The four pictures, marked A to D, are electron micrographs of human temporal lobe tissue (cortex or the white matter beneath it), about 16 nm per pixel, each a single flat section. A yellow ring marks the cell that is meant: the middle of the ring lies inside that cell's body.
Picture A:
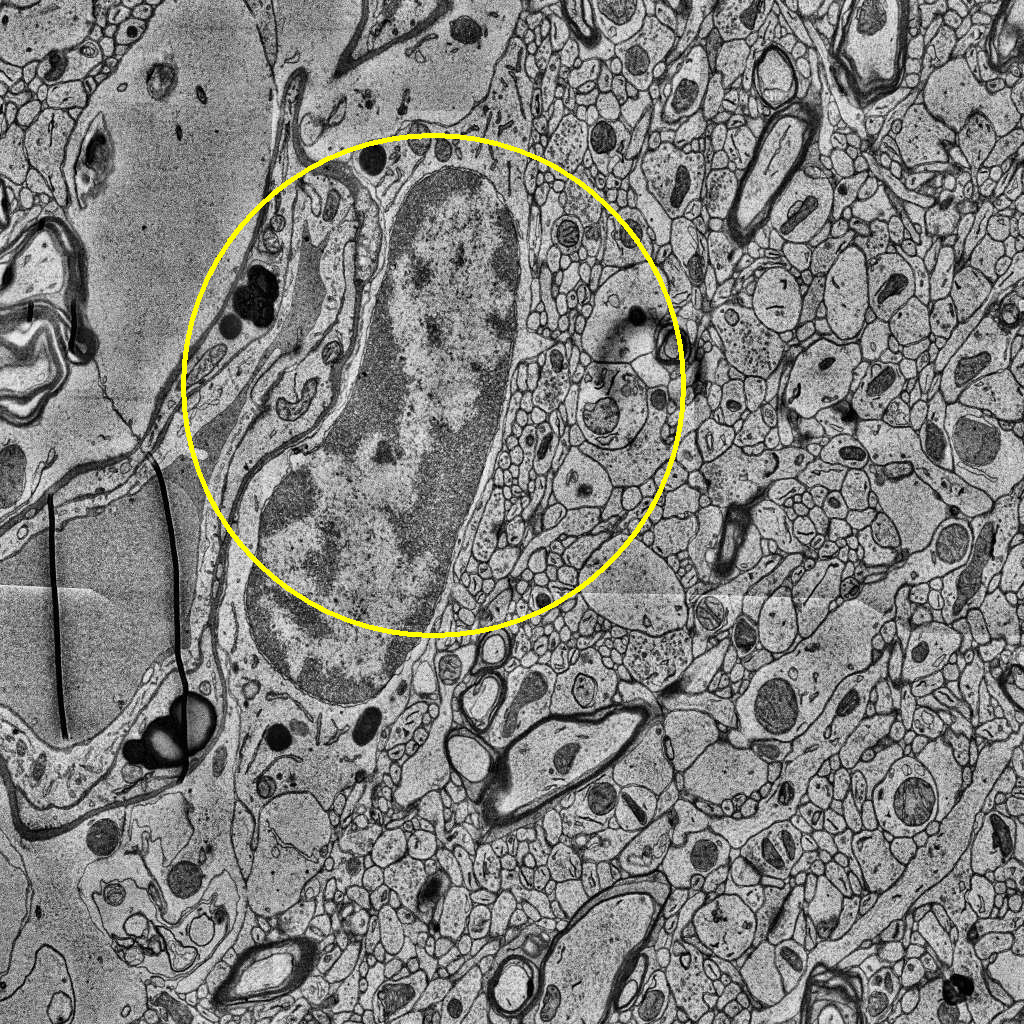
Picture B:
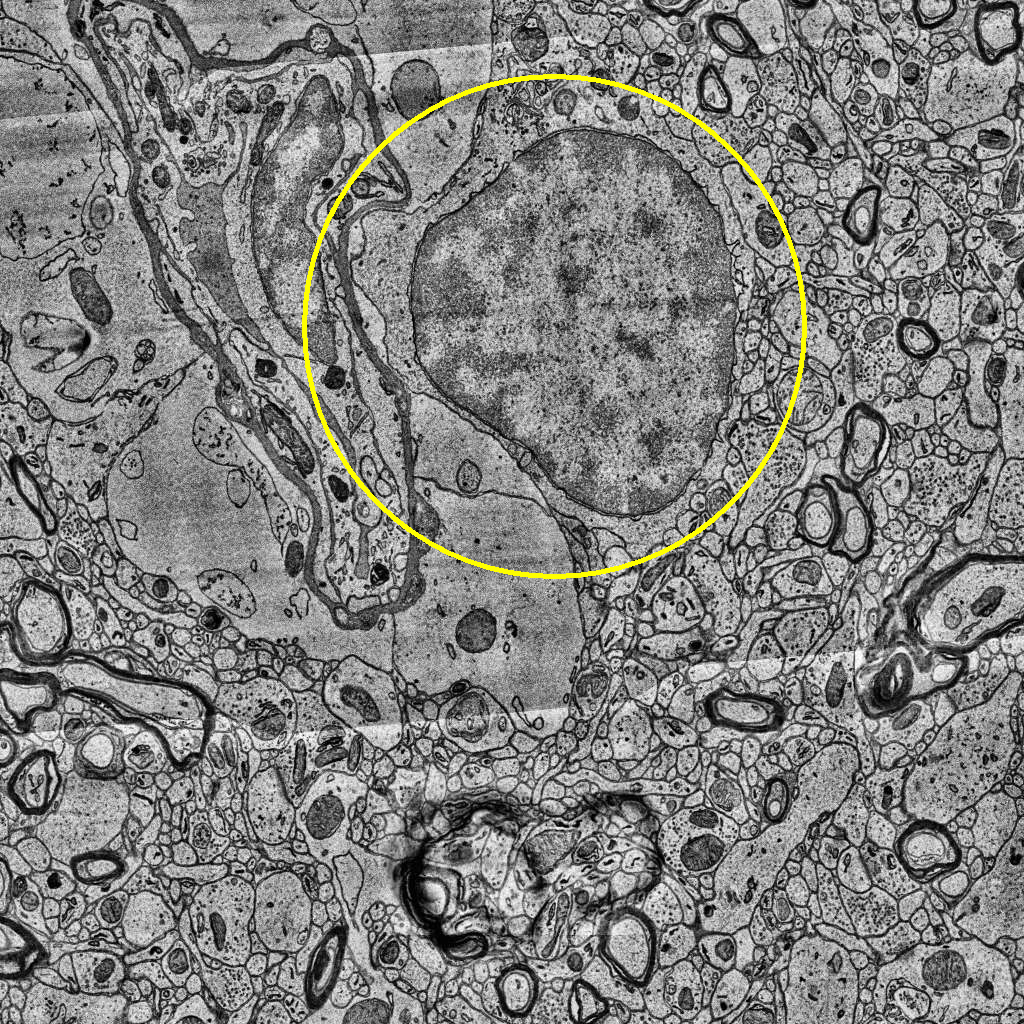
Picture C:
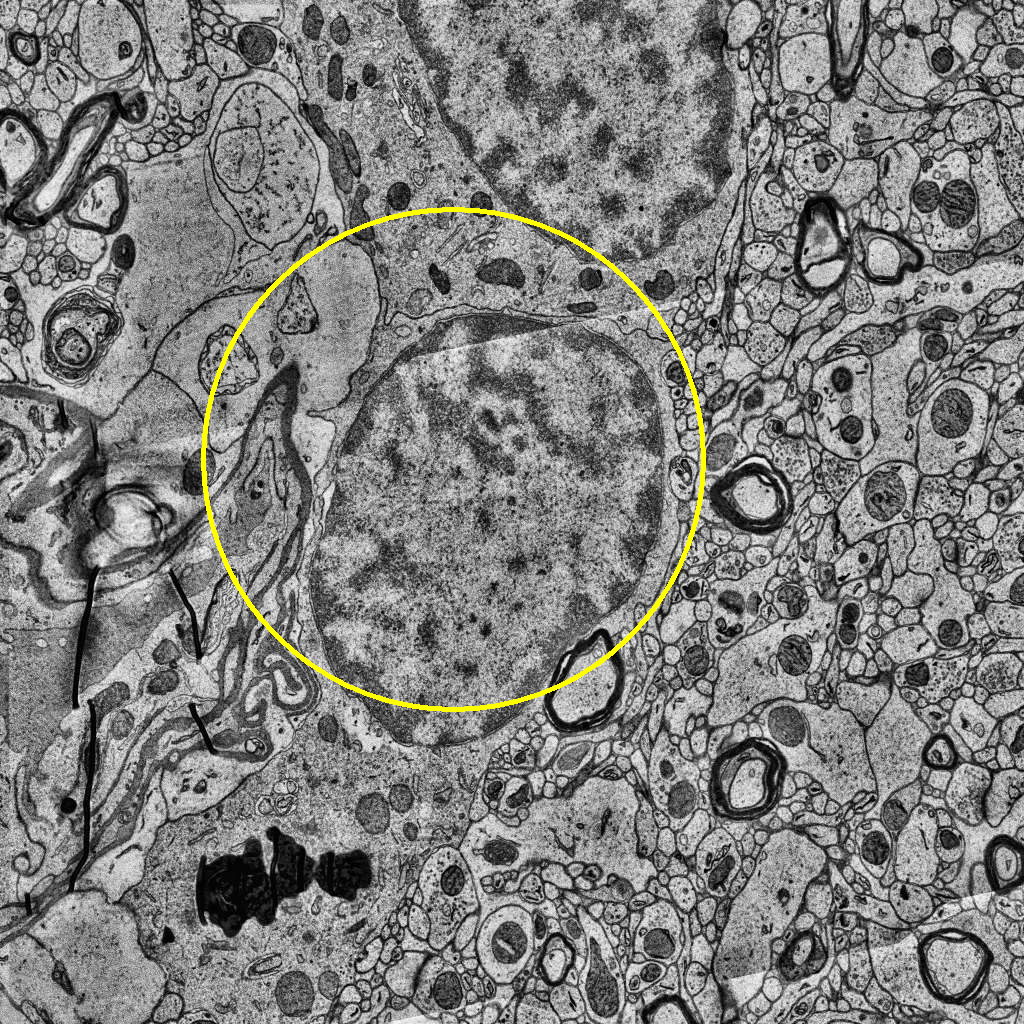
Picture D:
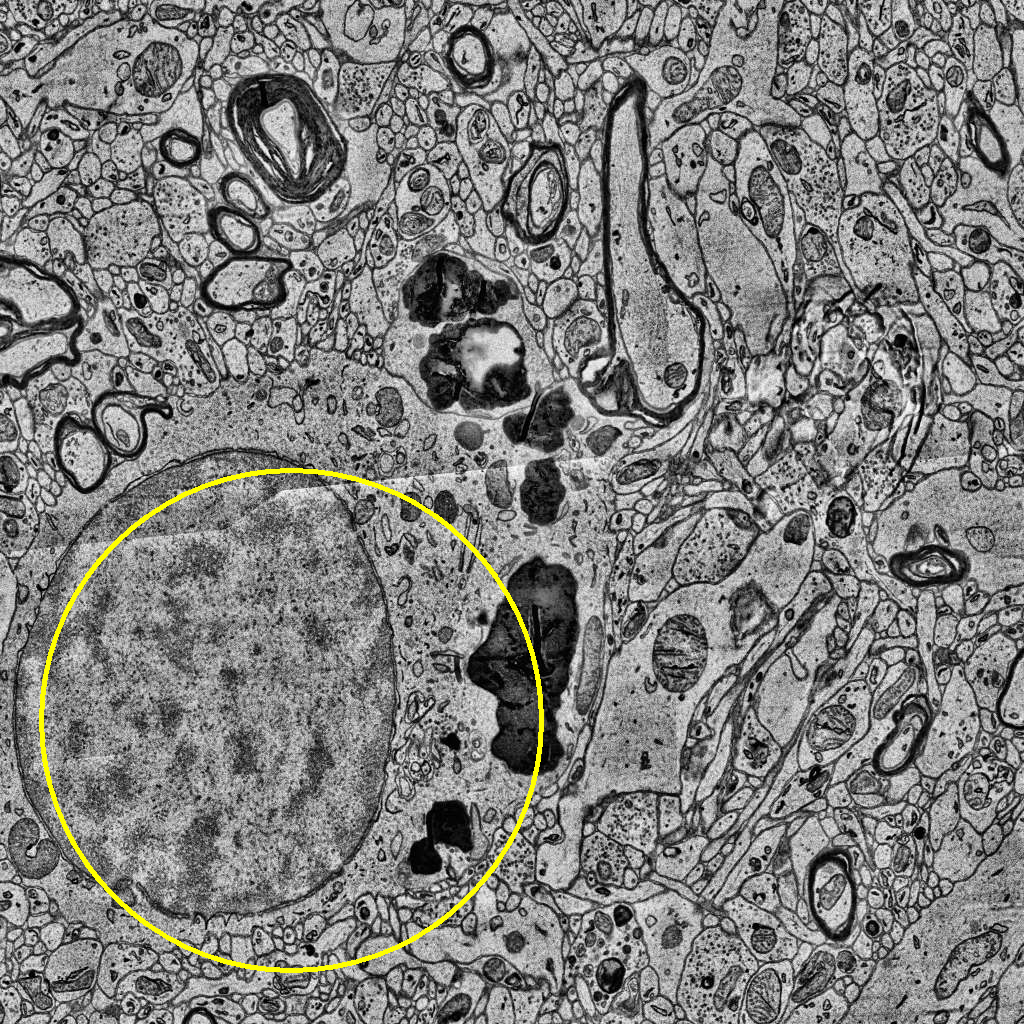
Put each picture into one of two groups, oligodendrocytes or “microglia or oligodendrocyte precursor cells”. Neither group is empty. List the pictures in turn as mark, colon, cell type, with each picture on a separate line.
A: microglia or oligodendrocyte precursor cell
B: oligodendrocyte
C: oligodendrocyte
D: oligodendrocyte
